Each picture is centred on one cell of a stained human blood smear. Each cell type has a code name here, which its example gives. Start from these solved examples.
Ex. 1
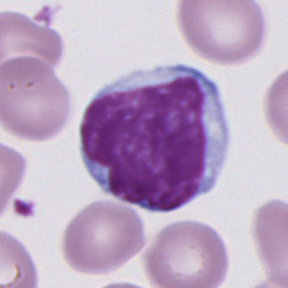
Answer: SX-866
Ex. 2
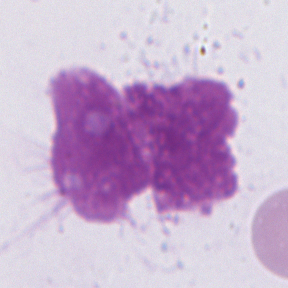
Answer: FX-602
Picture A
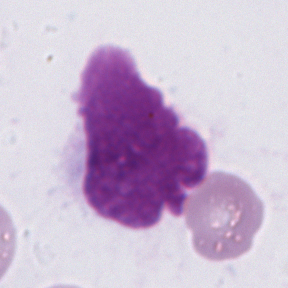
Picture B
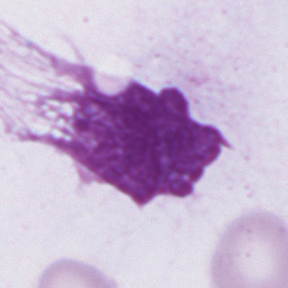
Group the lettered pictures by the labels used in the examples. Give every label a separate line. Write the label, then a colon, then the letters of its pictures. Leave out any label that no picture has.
FX-602: A, B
